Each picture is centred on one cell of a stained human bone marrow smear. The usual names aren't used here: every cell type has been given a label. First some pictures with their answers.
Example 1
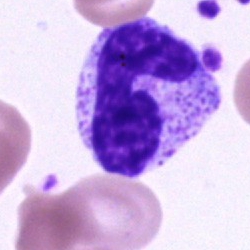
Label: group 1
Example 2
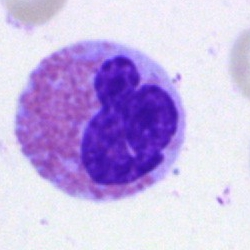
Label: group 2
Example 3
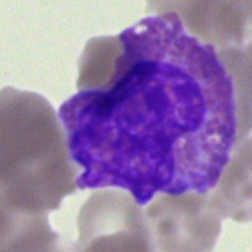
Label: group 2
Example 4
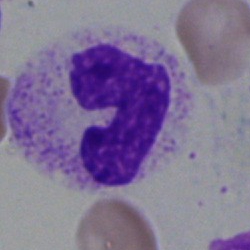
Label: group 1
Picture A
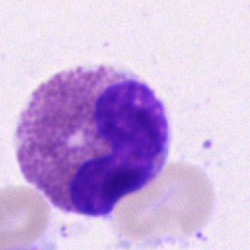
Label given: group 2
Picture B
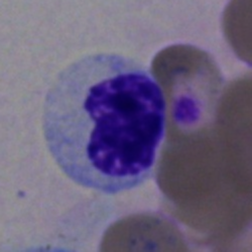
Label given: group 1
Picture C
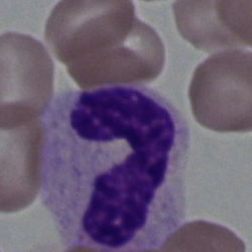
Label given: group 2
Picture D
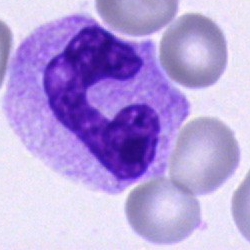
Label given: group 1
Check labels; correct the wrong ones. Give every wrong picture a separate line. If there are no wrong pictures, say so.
C: group 1, not group 2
